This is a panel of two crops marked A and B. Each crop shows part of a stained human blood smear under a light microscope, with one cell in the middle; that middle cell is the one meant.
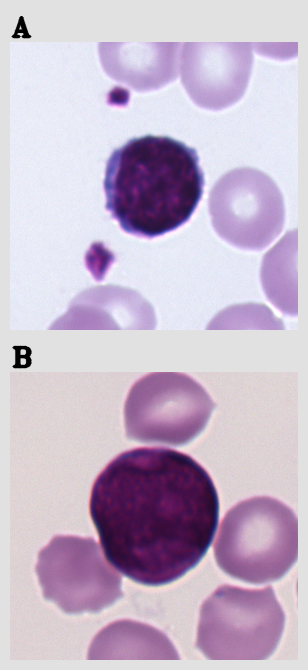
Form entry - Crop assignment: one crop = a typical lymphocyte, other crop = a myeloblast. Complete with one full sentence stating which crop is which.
As for the pair, crop A is a typical lymphocyte and crop B is a myeloblast.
